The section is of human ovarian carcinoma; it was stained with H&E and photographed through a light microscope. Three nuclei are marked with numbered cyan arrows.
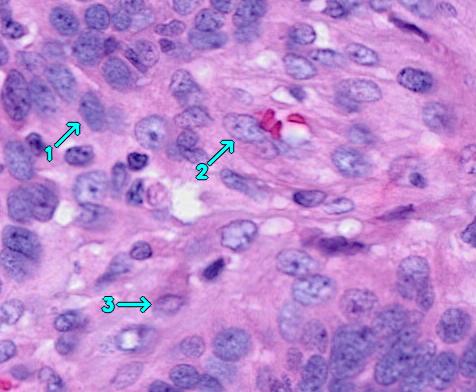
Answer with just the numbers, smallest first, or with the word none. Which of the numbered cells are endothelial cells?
2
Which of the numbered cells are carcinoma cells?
1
